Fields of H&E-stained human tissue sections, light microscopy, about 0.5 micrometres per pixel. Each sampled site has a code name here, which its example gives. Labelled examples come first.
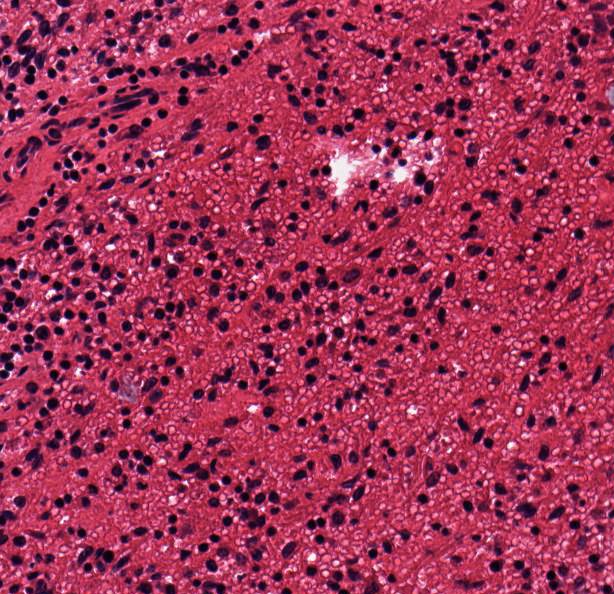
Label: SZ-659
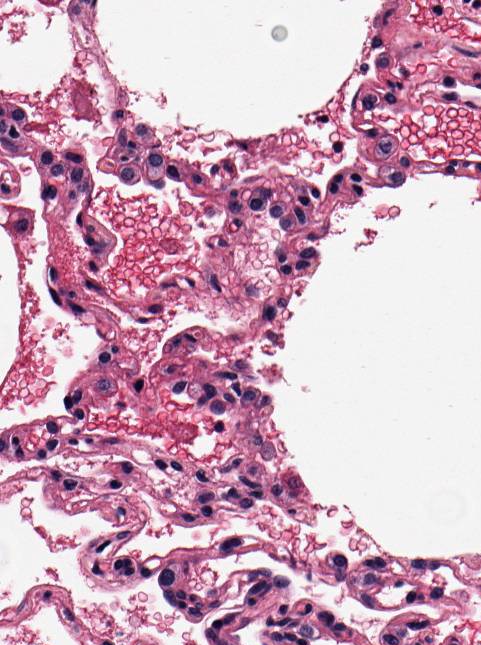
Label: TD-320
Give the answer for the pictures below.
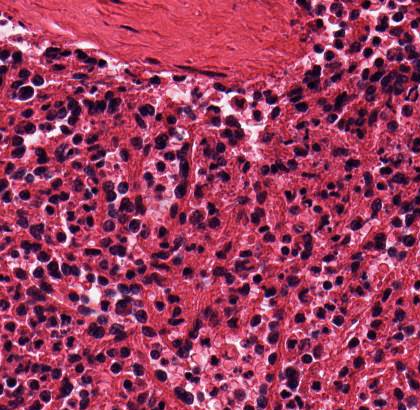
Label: SZ-659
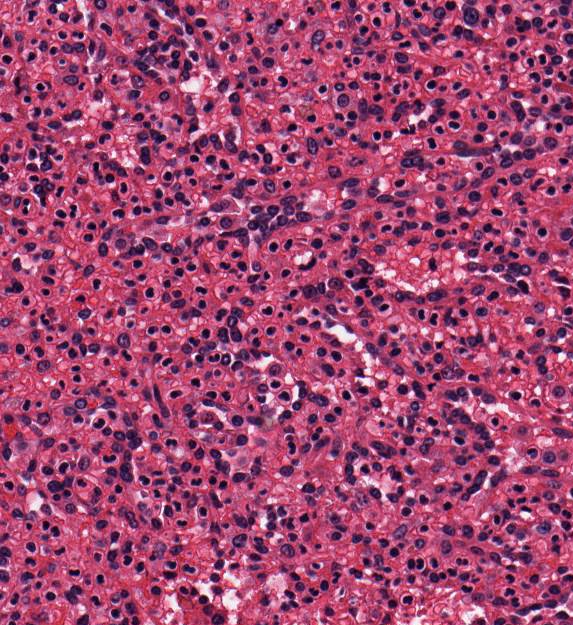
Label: SZ-659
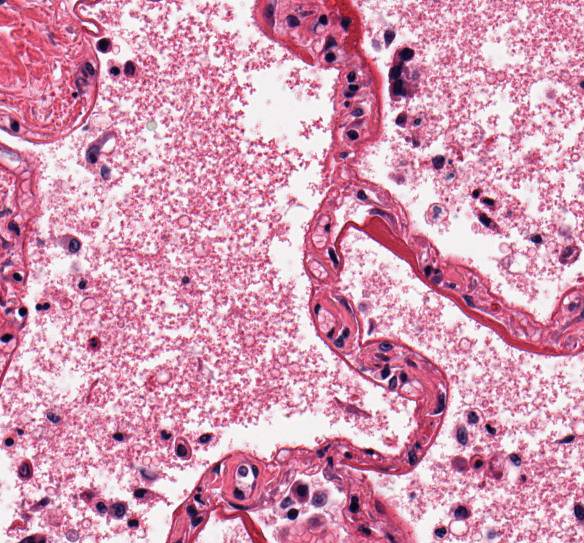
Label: TD-320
